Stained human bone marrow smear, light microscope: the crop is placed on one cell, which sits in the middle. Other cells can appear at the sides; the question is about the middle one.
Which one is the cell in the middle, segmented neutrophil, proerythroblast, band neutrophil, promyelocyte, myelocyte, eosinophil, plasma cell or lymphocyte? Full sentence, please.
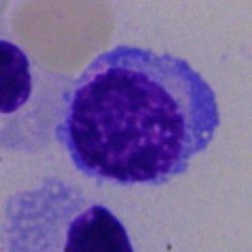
The cell that lies at the centre of the crop is a plasma cell.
